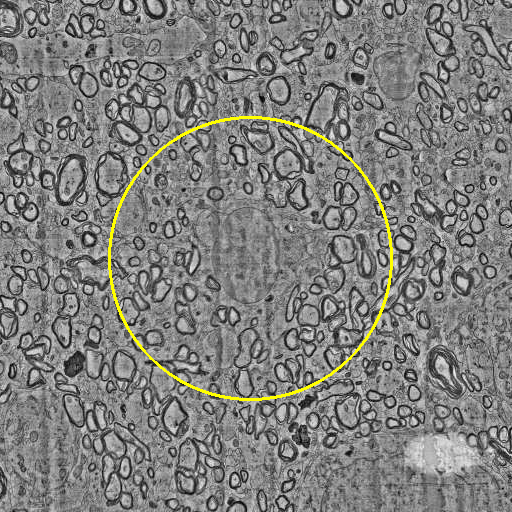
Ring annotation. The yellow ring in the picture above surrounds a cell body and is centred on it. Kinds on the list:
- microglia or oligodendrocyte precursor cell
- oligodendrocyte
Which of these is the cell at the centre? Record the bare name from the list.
microglia or oligodendrocyte precursor cell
